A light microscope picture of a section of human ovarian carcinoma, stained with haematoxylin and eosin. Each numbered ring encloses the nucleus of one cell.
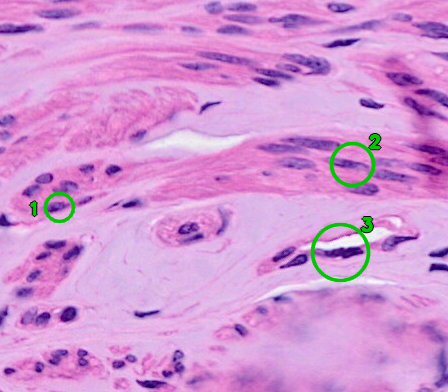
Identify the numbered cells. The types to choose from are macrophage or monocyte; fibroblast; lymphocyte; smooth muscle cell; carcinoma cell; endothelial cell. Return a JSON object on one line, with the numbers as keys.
{"1": "smooth muscle cell", "2": "smooth muscle cell", "3": "endothelial cell"}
